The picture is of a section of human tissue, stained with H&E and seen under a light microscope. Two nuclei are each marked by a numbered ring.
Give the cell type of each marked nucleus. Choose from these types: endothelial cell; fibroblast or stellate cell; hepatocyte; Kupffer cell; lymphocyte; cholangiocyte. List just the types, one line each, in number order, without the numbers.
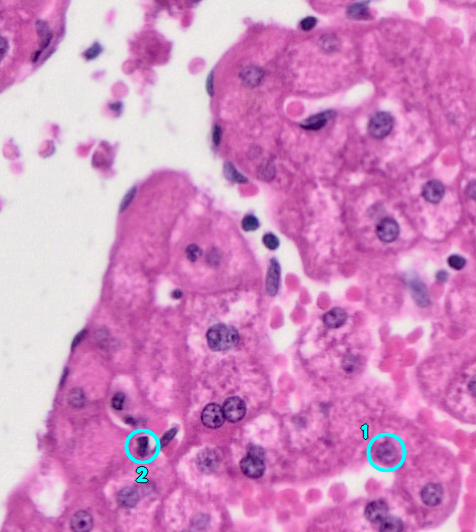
hepatocyte
fibroblast or stellate cell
